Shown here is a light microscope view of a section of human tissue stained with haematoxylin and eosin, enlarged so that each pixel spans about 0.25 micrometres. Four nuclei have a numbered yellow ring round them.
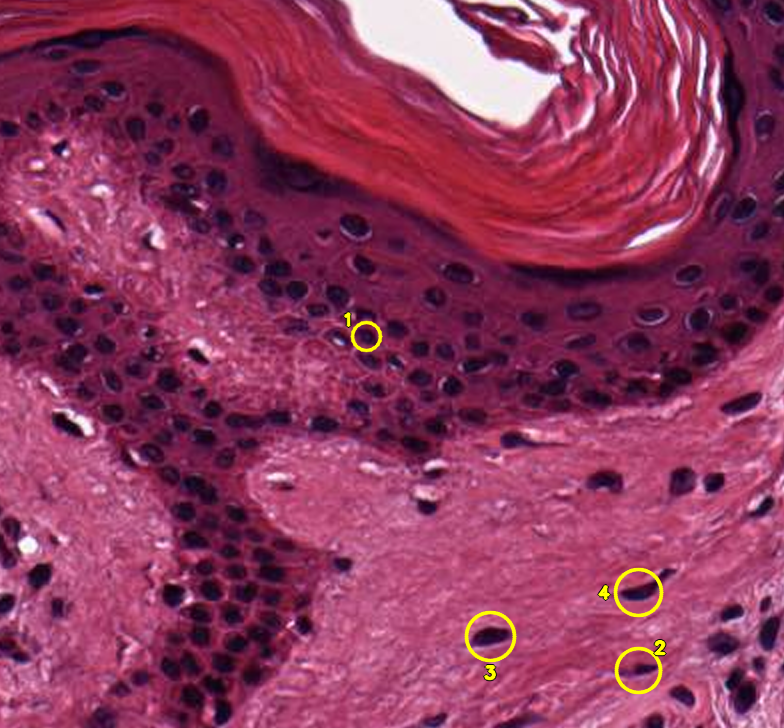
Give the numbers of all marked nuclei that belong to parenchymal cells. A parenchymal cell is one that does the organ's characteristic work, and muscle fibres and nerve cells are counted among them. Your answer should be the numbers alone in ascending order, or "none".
1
